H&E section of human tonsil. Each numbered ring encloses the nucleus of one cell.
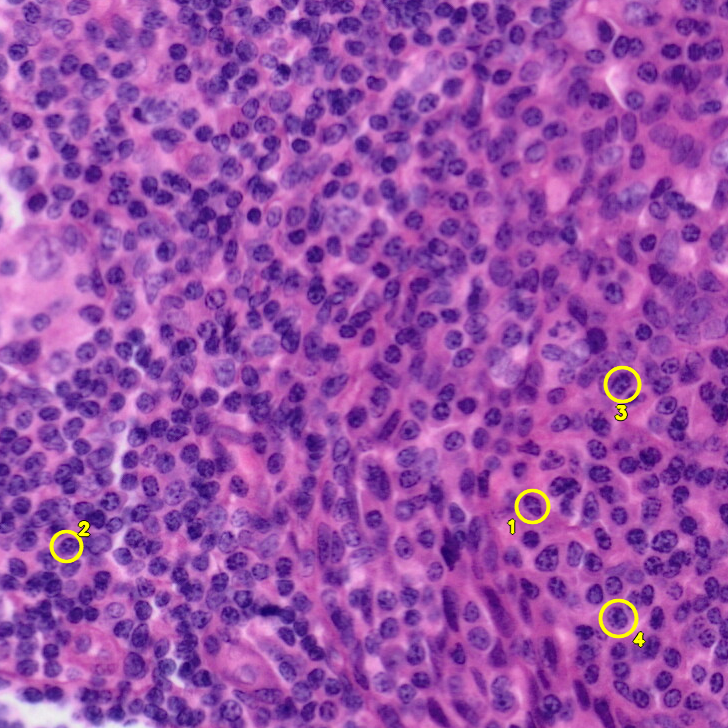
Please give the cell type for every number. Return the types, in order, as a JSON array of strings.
["plasma cell", "small lymphocyte", "plasma cell", "plasma cell"]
